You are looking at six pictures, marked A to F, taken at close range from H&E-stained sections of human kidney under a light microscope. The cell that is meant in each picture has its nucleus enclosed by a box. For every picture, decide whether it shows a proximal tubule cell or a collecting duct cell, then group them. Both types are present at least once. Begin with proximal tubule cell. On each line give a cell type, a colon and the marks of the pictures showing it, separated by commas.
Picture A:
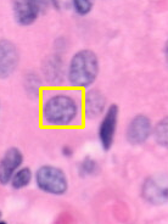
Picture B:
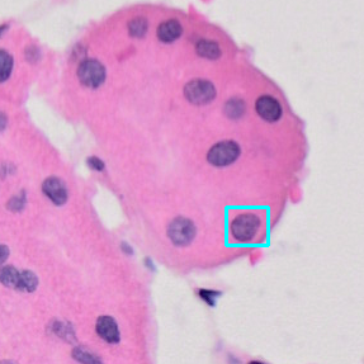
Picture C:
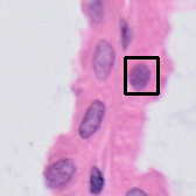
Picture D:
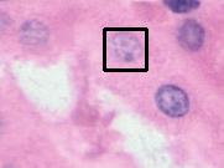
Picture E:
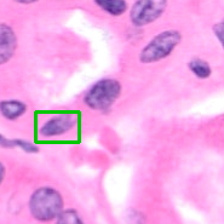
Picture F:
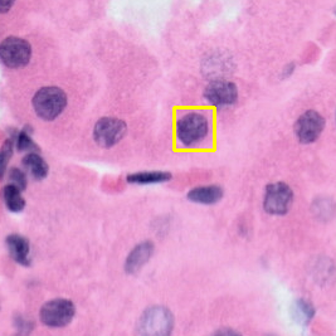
proximal tubule cell: B, C, D, F
collecting duct cell: A, E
